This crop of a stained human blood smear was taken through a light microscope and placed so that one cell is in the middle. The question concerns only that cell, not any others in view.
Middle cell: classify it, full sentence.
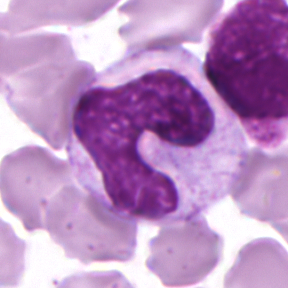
Among the cells in view, the one in the middle is a band neutrophil.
